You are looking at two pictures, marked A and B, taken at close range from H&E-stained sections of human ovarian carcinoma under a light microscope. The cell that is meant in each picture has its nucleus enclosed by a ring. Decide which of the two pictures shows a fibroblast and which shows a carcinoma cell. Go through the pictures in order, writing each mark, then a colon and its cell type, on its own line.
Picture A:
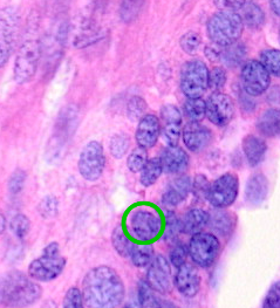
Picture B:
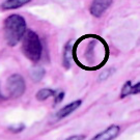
A: carcinoma cell
B: fibroblast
